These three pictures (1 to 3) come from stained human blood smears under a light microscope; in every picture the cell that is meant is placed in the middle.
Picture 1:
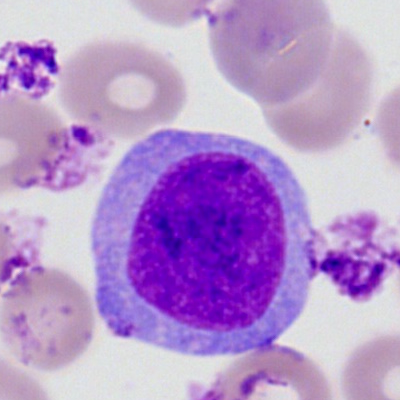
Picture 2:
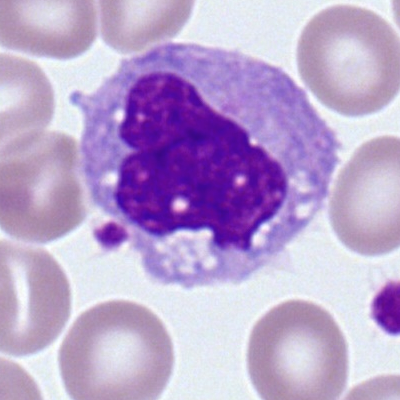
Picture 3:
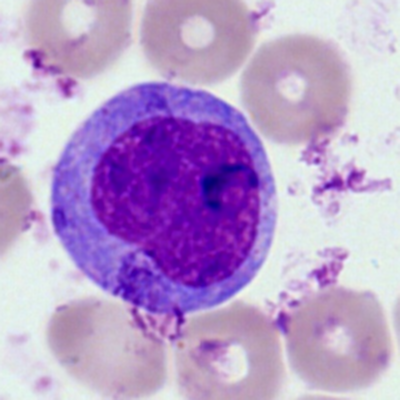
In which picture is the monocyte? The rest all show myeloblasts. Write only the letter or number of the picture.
2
